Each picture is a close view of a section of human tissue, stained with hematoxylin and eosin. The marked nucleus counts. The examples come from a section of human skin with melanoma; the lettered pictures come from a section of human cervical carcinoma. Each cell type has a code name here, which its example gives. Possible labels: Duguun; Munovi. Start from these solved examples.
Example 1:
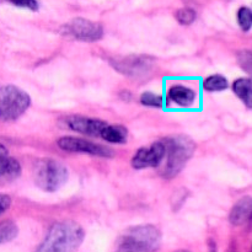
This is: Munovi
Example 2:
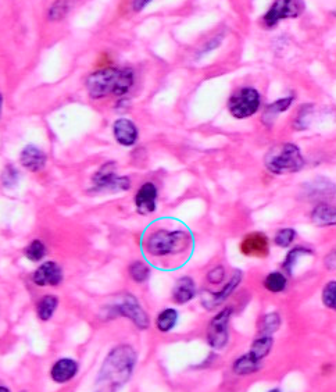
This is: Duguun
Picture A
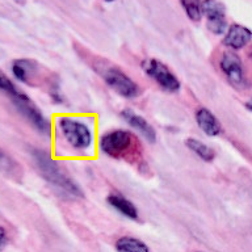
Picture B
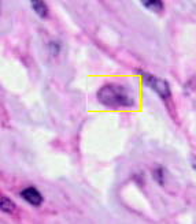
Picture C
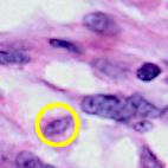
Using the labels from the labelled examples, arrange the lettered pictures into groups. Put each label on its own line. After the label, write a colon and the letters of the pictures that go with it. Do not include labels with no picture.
Duguun: B, C
Munovi: A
